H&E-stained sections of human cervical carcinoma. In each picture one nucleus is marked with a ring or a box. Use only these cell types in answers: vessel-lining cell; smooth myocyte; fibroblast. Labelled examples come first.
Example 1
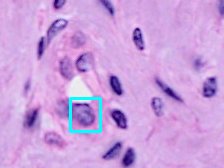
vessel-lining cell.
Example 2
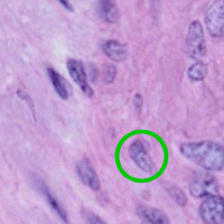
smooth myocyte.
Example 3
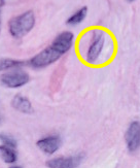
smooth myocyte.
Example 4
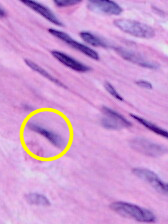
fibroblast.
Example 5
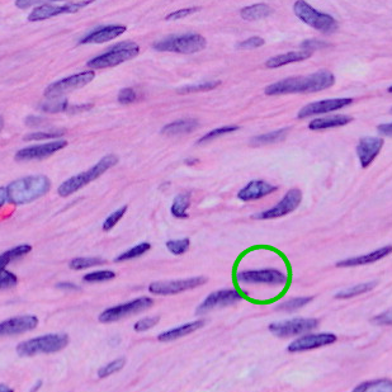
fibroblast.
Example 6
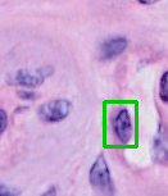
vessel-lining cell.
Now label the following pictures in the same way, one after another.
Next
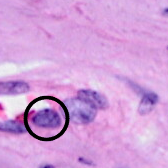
vessel-lining cell.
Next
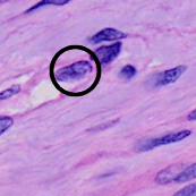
vessel-lining cell.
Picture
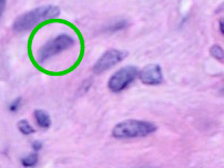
fibroblast.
